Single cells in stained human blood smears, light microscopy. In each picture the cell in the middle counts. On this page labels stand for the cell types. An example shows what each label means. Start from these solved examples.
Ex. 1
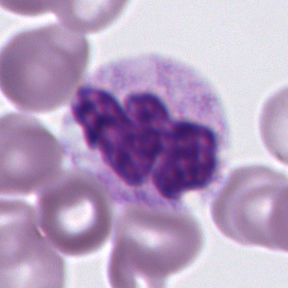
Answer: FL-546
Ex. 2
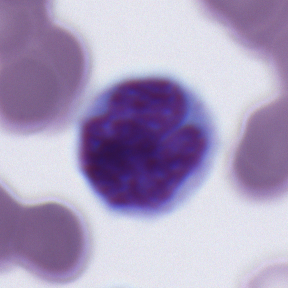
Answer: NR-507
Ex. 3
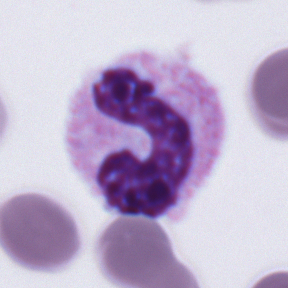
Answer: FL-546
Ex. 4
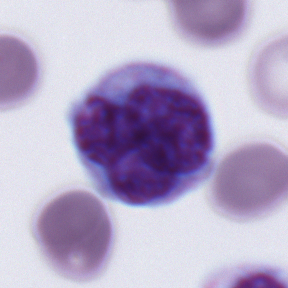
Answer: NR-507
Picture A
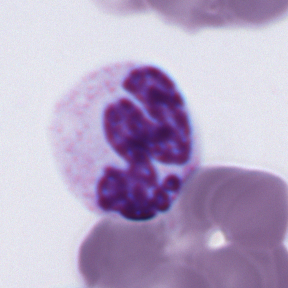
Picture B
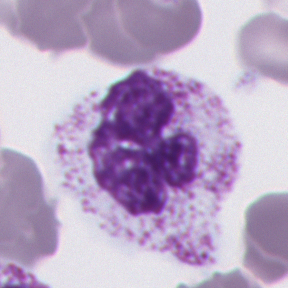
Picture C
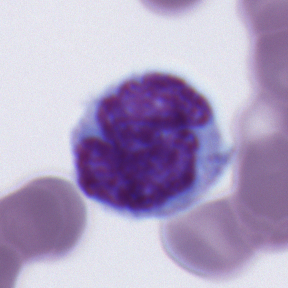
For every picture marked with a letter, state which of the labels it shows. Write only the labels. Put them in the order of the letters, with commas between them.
FL-546, FL-546, NR-507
